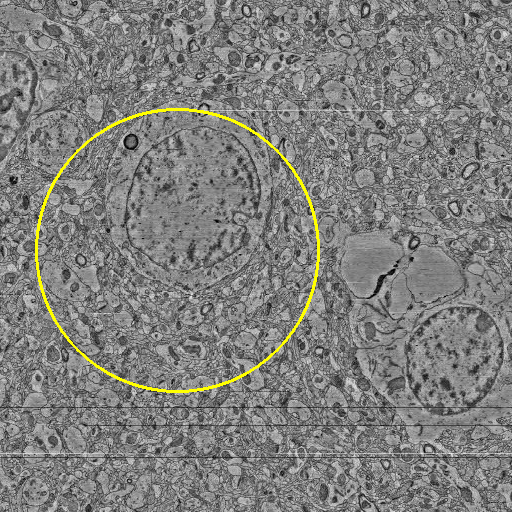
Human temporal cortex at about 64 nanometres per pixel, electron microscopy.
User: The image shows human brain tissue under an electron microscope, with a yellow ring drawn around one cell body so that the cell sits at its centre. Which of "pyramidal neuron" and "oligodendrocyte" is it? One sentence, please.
At the centre of the ring sits a pyramidal neuron.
